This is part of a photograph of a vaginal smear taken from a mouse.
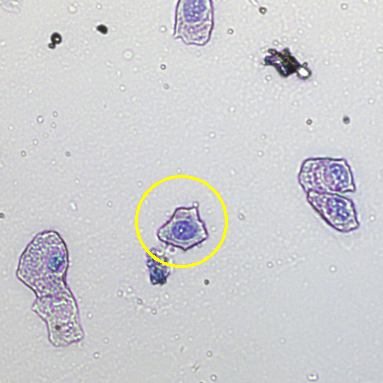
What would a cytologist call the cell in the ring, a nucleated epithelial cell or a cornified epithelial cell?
A cytologist would call it a nucleated epithelial cell.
